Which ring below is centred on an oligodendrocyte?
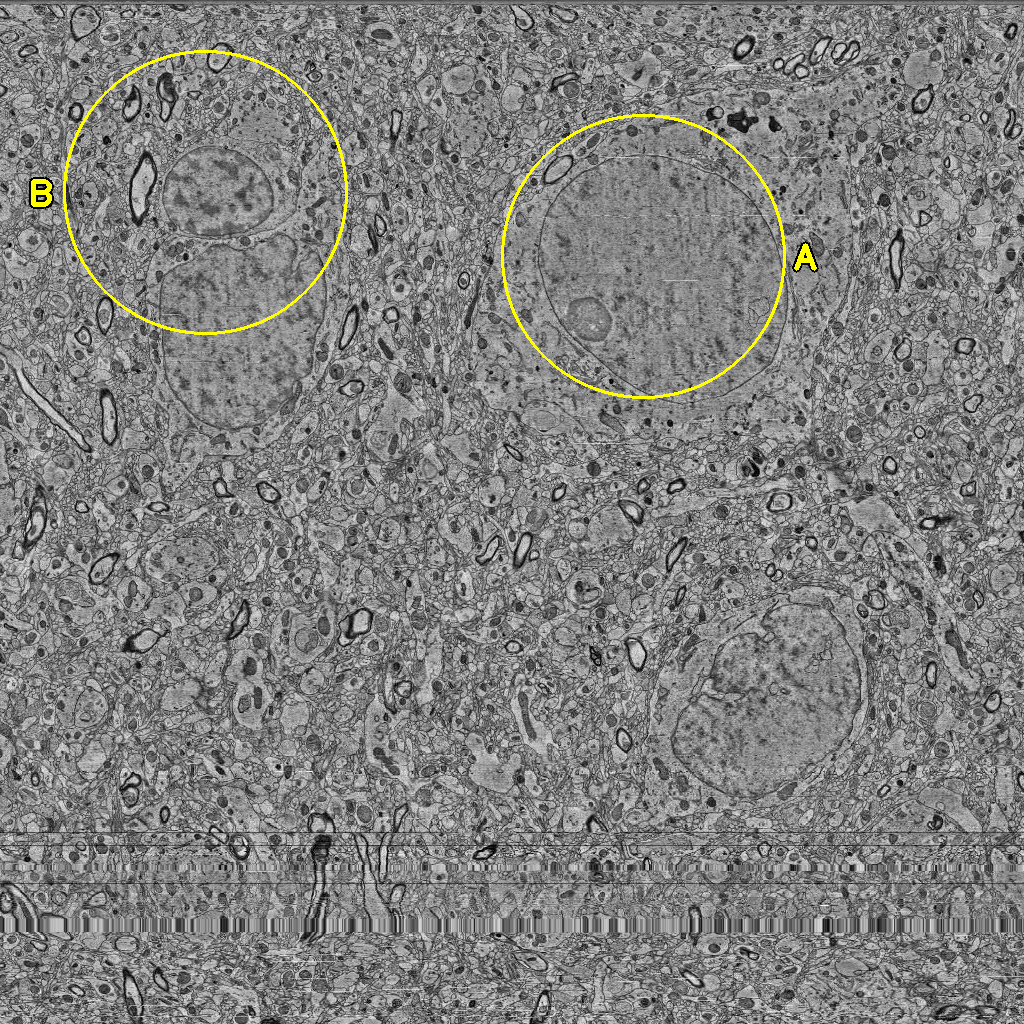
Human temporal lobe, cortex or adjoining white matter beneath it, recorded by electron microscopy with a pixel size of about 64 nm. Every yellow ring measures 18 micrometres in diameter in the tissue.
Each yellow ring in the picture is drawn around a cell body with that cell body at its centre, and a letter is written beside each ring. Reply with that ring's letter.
B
